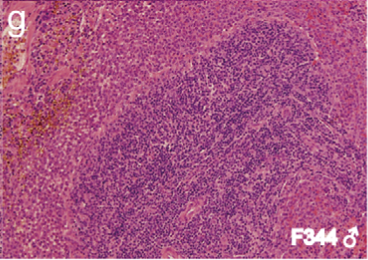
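Spleen with a well-formed white pulp nodule. The nodule is densely packed with small round lymphocytes whose dark purple nuclei give it a deep blue colour. Around it lies pinker red pulp with more loosely arranged cells and blood, and golden-brown pigment at one edge.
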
